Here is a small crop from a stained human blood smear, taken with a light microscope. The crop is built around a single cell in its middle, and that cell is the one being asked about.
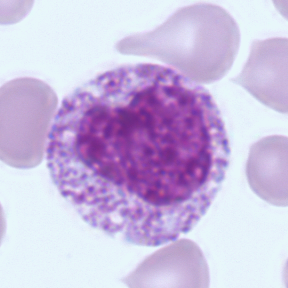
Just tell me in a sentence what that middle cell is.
Looking at the middle of the crop, the cell there is a myelocyte.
